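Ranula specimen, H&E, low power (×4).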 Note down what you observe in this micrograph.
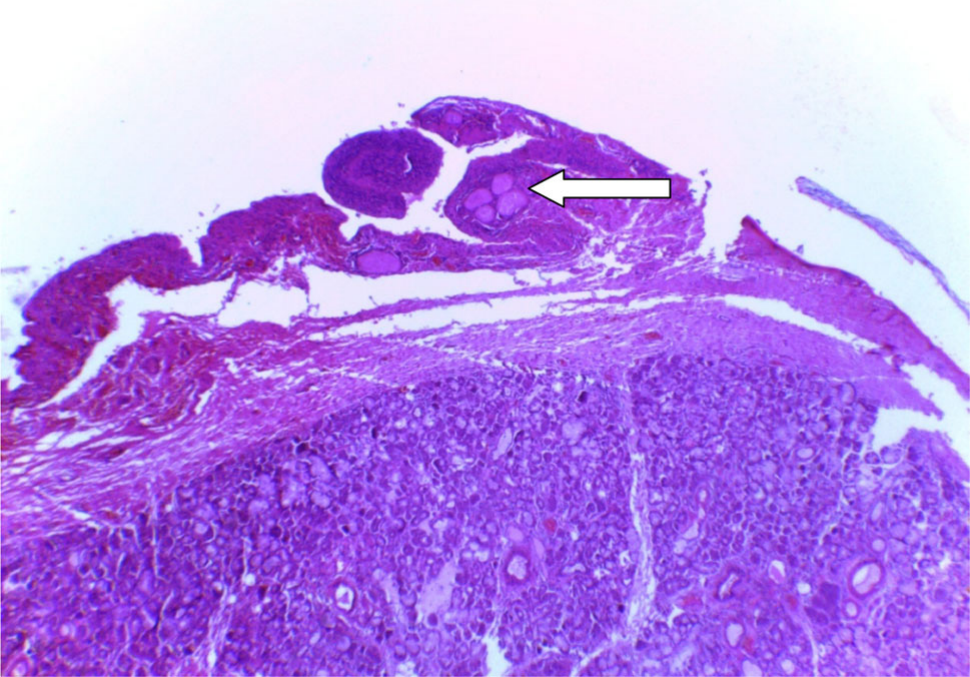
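In the upper part, irregular, deeply stained fibrous tissue forms nodules, and one of these holds a cluster of pale, rounded, acellular pools of mucin. Below a band of looser, paler connective tissue, the lower half is filled with closely packed glandular acini. The acini are divided into lobules by thin septa, with scattered ducts showing round open lumens.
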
